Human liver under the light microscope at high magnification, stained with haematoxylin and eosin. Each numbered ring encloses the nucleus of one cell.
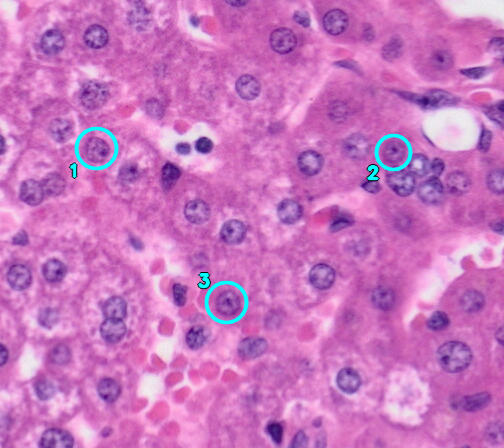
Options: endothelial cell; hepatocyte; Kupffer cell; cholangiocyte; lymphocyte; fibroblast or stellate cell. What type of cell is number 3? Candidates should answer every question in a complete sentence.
The one labeled 3 is a hepatocyte, to put it simply.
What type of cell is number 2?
The cell pointed out as number 2 is a cholangiocyte.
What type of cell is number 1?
In this section, number 1 marks a hepatocyte.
